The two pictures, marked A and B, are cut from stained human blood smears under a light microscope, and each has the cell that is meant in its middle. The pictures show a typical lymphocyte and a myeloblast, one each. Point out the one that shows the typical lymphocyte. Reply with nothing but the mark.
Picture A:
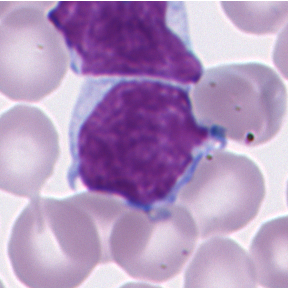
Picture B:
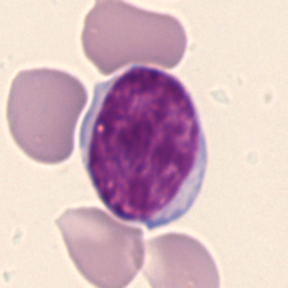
A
